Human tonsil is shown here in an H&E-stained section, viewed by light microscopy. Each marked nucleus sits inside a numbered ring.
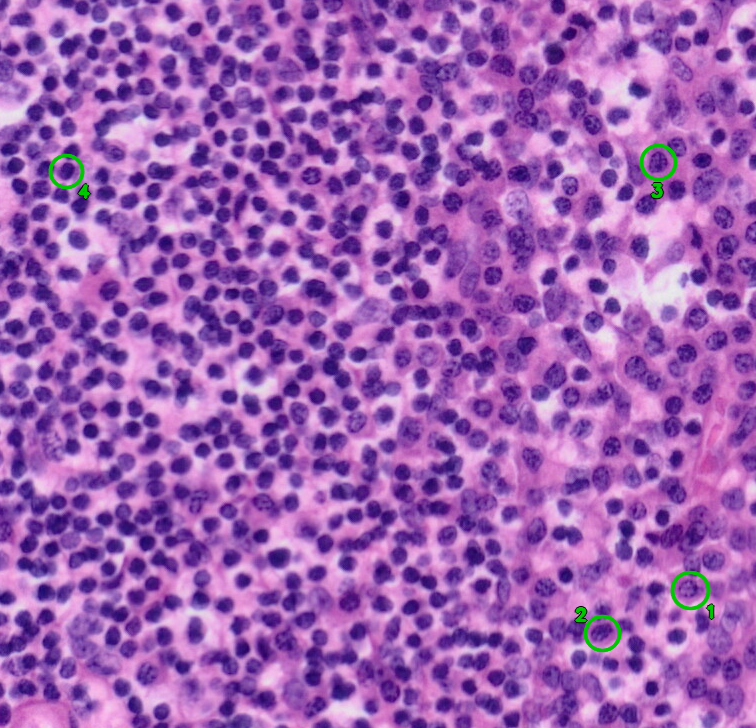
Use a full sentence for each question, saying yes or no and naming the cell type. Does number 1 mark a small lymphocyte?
No, the identification of cell 1 as a small lymphocyte is incorrect; it is a plasma cell.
